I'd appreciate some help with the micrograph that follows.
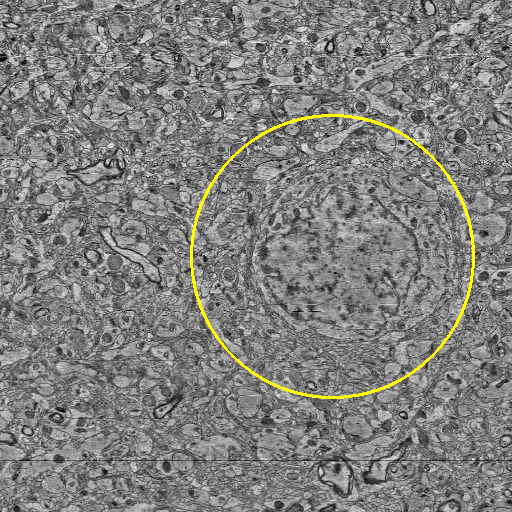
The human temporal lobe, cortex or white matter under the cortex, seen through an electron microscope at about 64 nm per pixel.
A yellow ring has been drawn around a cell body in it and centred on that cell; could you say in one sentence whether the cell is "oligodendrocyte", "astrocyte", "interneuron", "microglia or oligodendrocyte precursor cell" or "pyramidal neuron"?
It is an interneuron at the centre of the ring.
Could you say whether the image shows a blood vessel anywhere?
No, the image shows no blood vessel.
